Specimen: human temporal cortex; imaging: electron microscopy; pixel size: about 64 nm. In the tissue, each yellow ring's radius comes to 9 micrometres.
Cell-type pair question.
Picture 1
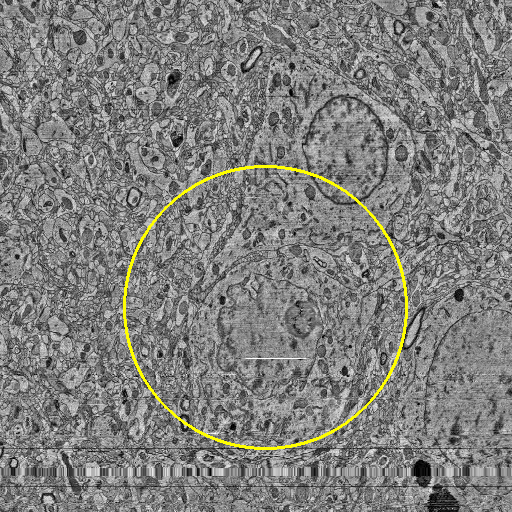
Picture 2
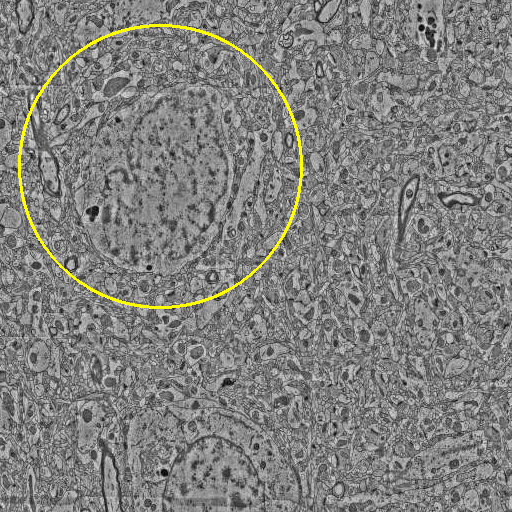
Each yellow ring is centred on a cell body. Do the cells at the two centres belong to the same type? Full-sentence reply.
Yes, the two cells belong to the same type.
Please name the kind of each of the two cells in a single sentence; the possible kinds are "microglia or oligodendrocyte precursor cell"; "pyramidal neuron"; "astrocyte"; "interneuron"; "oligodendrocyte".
In the first picture and in the second, the ring is centred on an interneuron.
